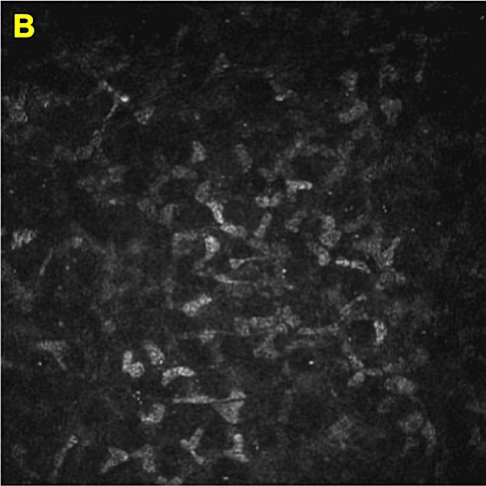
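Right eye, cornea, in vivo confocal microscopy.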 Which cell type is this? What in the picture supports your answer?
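Bright, irregular oval to bean-shaped bodies scattered across the field. The bodies lie in a dark, featureless background. The bodies are spaced apart rather than touching in a mosaic.
Answer: stromal cells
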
